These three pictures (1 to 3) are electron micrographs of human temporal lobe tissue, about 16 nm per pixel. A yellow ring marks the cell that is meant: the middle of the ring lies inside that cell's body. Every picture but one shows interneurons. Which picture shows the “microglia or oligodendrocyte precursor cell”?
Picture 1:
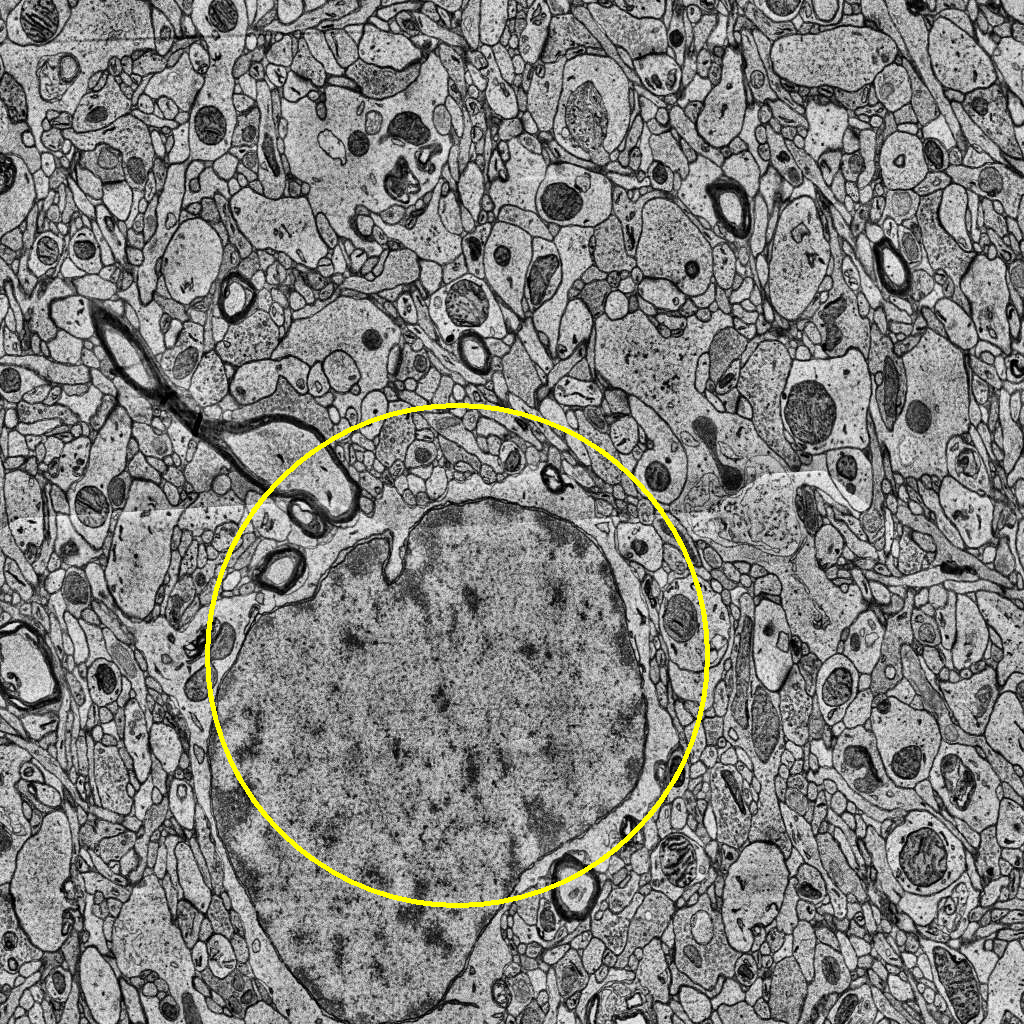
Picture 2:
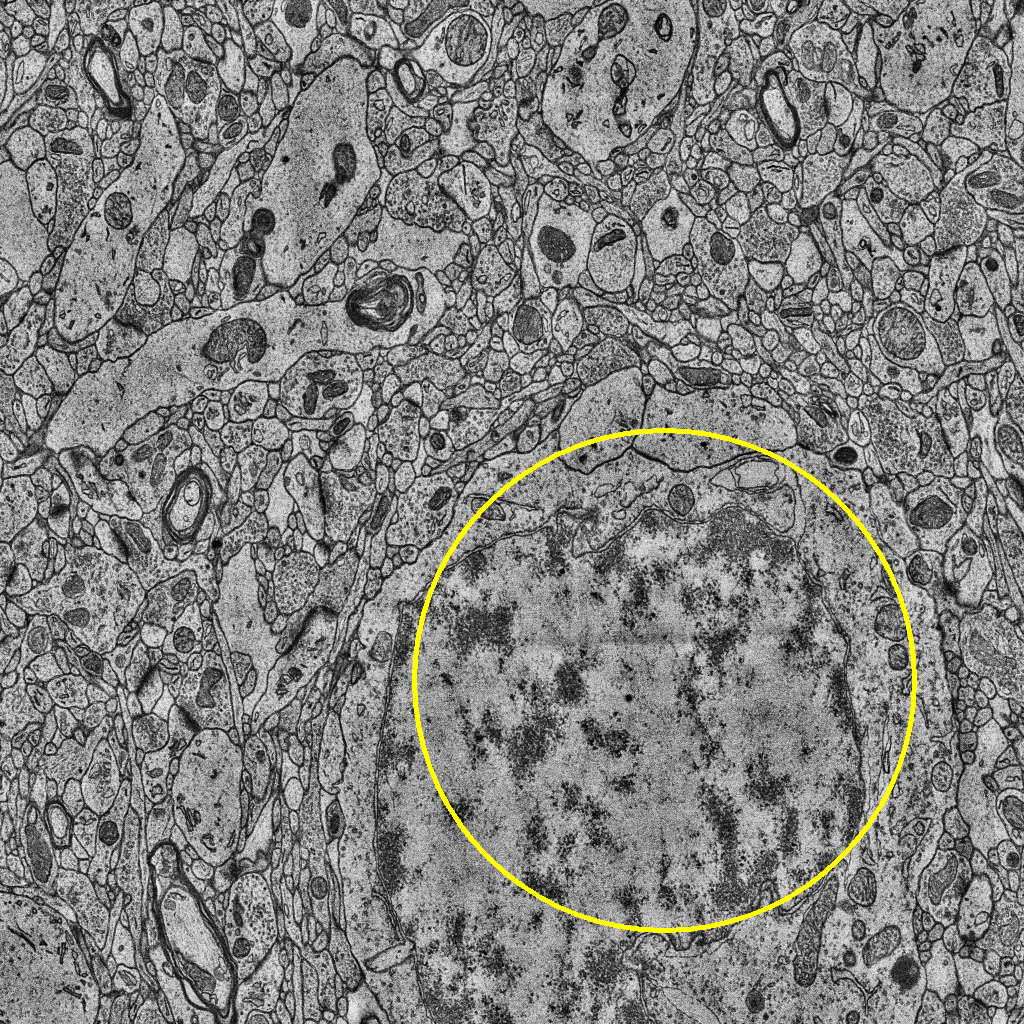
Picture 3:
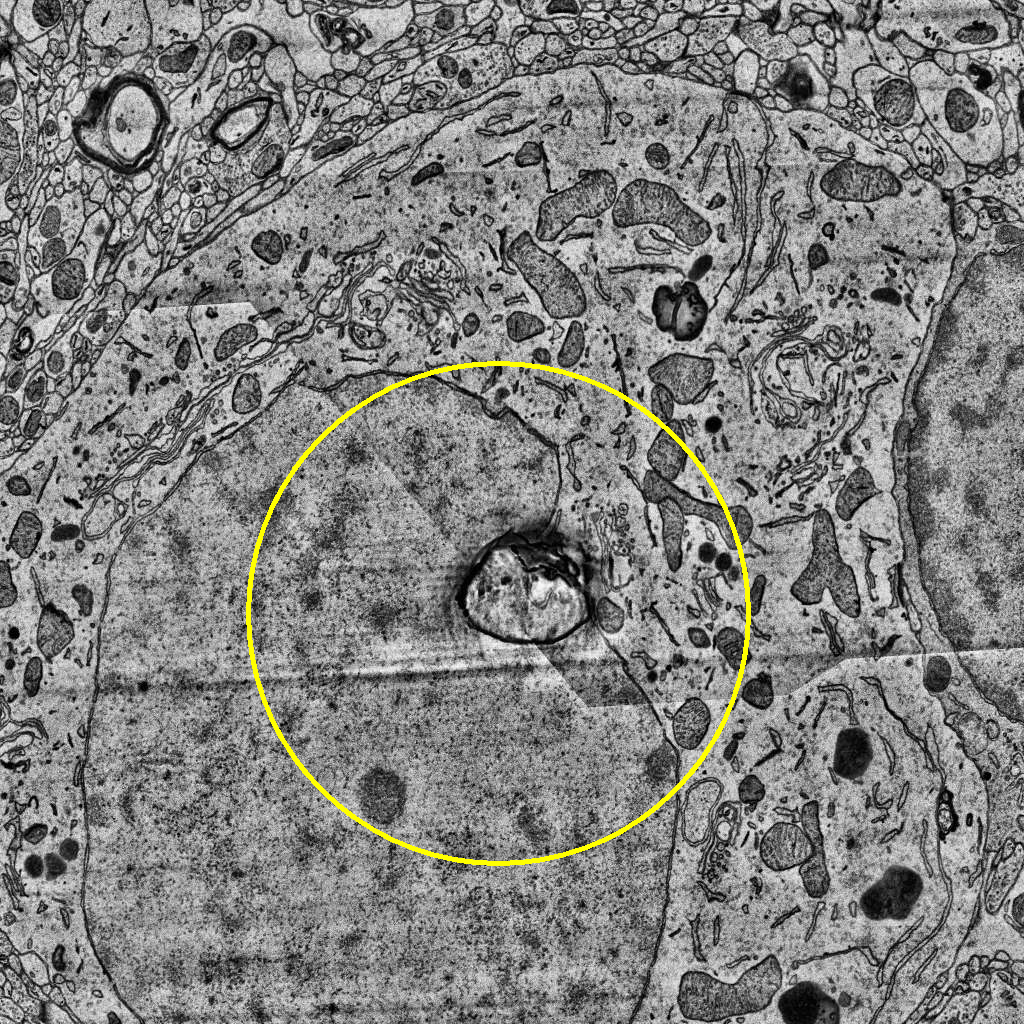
It is picture 1 that shows the “microglia or oligodendrocyte precursor cell”.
